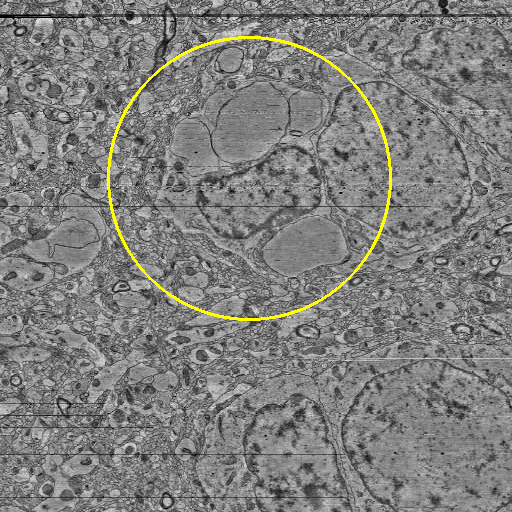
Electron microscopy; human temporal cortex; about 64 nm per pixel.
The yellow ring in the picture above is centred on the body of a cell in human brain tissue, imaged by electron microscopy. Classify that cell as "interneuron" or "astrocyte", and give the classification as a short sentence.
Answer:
The cell in the middle of the ring is an astrocyte.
